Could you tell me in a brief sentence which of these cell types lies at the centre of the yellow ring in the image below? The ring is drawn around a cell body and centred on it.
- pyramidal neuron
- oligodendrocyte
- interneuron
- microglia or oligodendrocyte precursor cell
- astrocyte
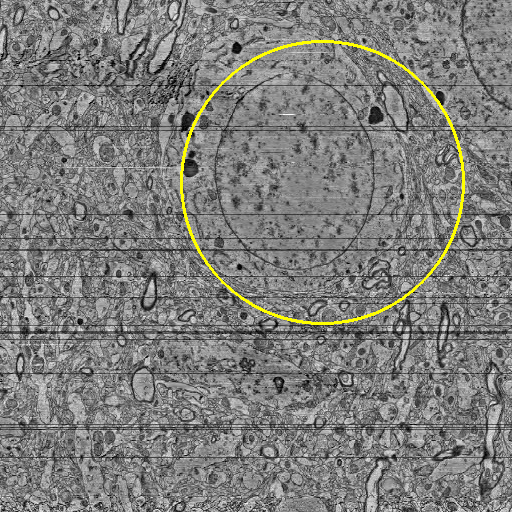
The cell centred in the ring is a pyramidal neuron.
